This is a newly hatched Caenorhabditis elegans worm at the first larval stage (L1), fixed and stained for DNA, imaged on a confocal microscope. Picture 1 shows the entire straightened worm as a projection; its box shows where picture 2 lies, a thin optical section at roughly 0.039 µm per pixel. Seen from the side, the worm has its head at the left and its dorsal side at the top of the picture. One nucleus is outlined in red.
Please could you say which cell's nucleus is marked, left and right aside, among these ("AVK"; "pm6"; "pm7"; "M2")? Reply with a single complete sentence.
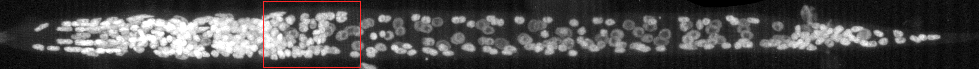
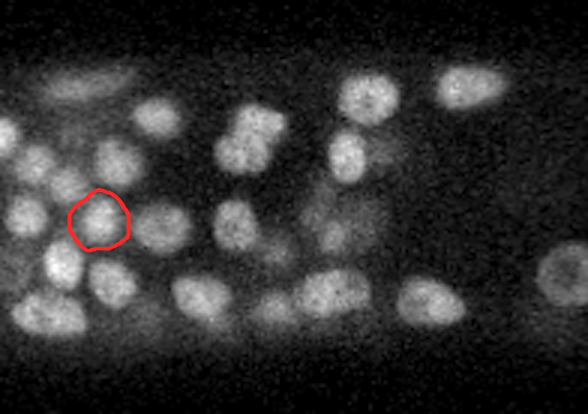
The nucleus is from M2, a neuron.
